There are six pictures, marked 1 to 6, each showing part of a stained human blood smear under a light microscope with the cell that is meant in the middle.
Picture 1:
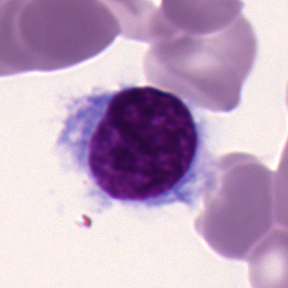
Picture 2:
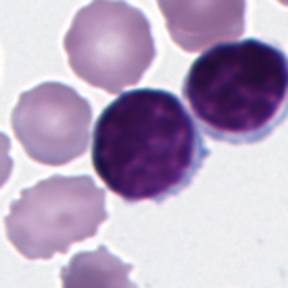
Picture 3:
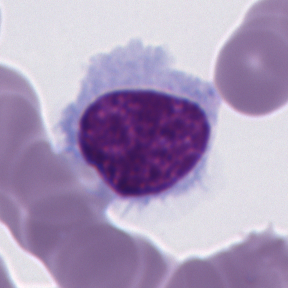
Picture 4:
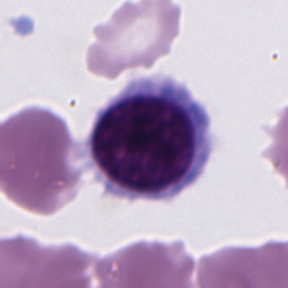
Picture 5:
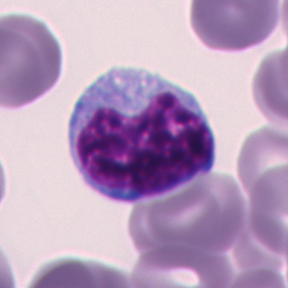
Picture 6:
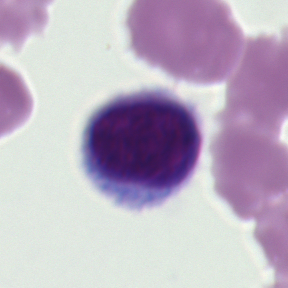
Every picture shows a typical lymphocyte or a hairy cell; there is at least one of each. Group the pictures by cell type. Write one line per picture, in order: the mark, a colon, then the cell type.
1: hairy cell
2: typical lymphocyte
3: hairy cell
4: hairy cell
5: typical lymphocyte
6: hairy cell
